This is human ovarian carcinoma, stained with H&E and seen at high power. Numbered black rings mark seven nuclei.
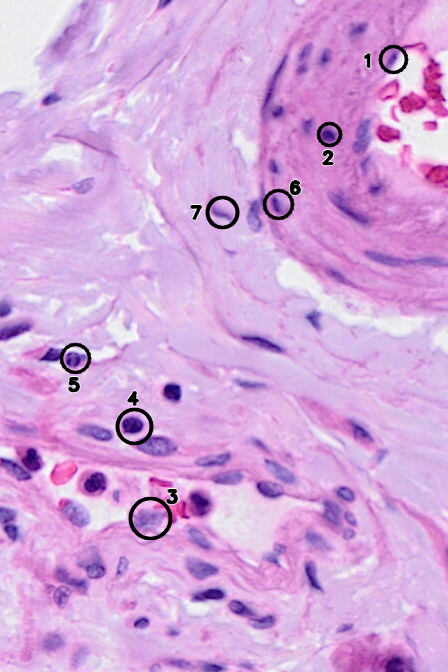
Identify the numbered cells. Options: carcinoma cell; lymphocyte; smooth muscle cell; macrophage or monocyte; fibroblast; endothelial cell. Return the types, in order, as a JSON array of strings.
["endothelial cell", "smooth muscle cell", "endothelial cell", "lymphocyte", "lymphocyte", "smooth muscle cell", "fibroblast"]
